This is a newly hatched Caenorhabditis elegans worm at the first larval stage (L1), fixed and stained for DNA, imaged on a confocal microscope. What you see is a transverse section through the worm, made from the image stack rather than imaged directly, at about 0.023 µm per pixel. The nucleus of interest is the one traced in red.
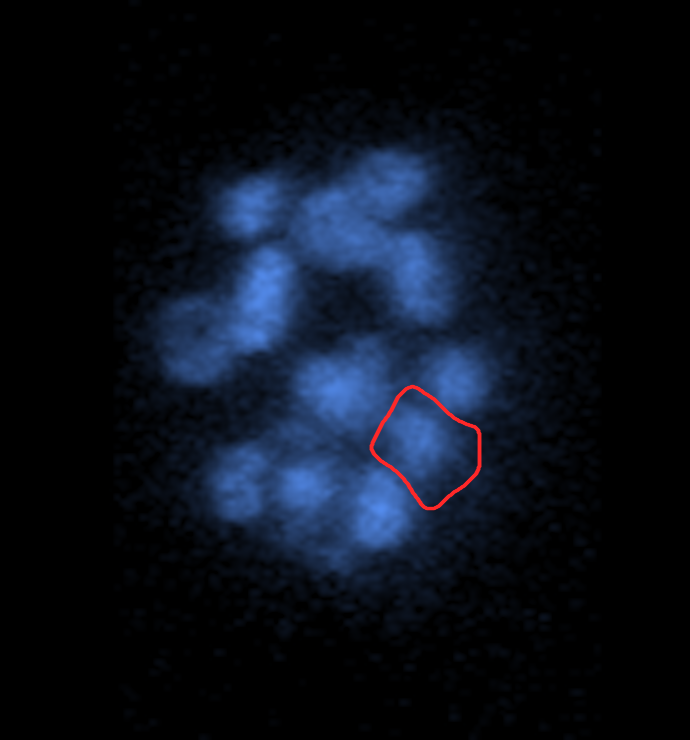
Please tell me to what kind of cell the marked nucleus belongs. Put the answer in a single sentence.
This nucleus is from a cell of the excretory system.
